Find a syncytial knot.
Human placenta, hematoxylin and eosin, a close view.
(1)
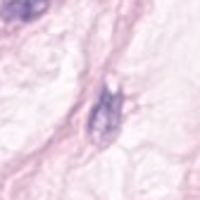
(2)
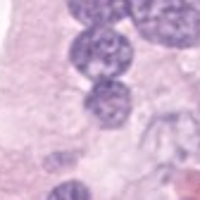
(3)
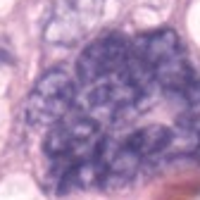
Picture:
3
